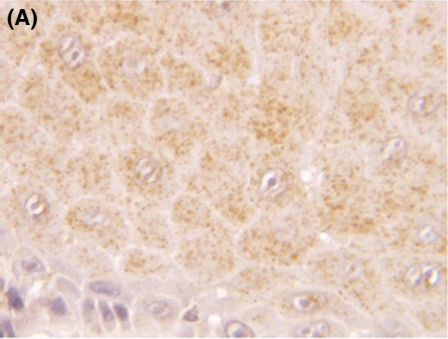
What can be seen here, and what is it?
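These are epithelial cells: large polygonal cells fitted closely together, each with a central pale oval nucleus. Their cytoplasm is filled with fine brown granules. Along the lower edge lie smaller, more crowded cells with darker nuclei.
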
